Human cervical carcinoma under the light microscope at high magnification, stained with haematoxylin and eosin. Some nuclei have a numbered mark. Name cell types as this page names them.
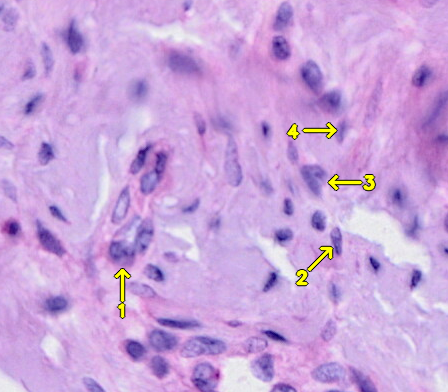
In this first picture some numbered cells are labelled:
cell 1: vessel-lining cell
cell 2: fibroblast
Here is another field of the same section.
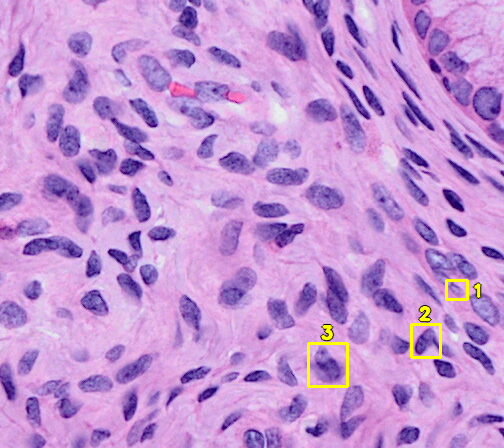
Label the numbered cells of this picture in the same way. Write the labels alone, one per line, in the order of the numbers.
vessel-lining cell
fibroblast
fibroblast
